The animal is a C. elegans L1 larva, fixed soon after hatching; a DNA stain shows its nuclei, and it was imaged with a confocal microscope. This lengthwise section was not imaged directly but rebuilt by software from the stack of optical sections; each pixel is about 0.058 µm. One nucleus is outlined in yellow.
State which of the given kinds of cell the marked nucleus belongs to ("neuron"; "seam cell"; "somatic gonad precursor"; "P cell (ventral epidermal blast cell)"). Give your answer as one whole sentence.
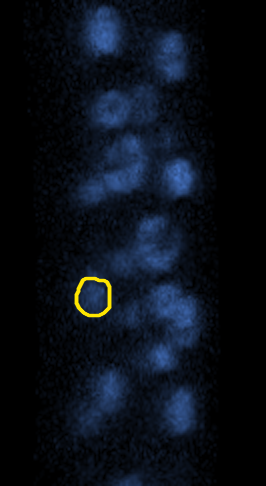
The cell with the marked nucleus is a P cell (ventral epidermal blast cell).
